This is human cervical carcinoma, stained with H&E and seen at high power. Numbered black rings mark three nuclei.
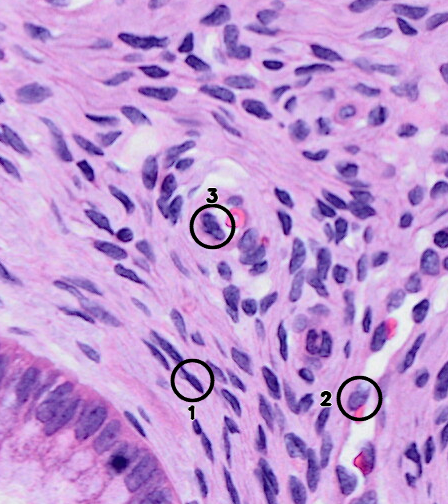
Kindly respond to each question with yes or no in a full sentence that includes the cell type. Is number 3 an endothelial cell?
Yes, the cell that bears number 3 is an endothelial cell.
